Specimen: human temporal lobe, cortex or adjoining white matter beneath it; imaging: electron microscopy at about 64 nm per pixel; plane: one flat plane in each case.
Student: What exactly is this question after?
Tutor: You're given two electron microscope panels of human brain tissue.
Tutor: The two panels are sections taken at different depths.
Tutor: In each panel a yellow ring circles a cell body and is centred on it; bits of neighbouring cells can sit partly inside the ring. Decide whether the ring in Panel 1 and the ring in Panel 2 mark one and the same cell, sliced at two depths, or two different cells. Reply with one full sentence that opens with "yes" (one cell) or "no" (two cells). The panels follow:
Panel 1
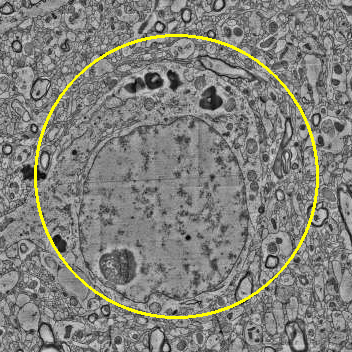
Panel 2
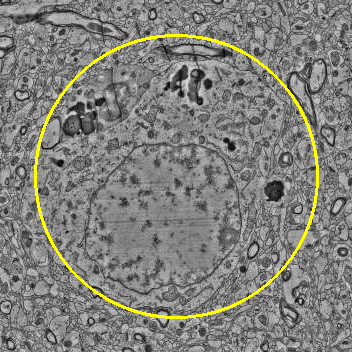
Yes, only one cell is involved, and both rings mark it.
